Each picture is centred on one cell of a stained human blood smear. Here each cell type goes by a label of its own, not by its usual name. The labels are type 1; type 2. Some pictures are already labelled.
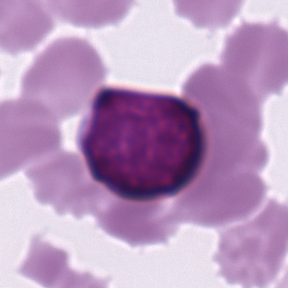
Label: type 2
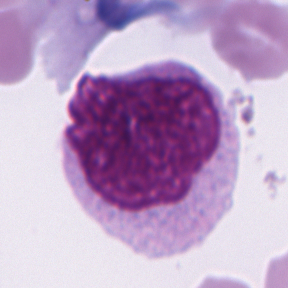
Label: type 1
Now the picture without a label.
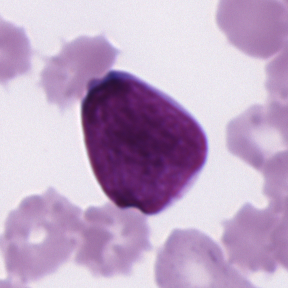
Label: type 2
